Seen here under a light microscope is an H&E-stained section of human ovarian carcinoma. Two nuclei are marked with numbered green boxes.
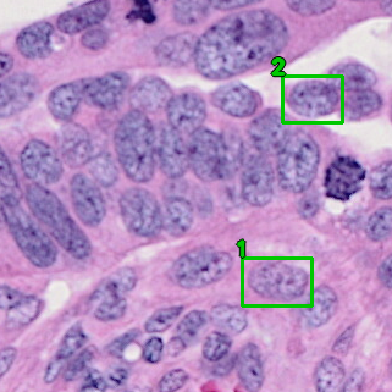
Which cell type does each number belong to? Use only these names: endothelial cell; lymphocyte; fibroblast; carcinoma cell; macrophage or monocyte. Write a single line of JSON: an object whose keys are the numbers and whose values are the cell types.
{"1": "fibroblast", "2": "carcinoma cell"}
